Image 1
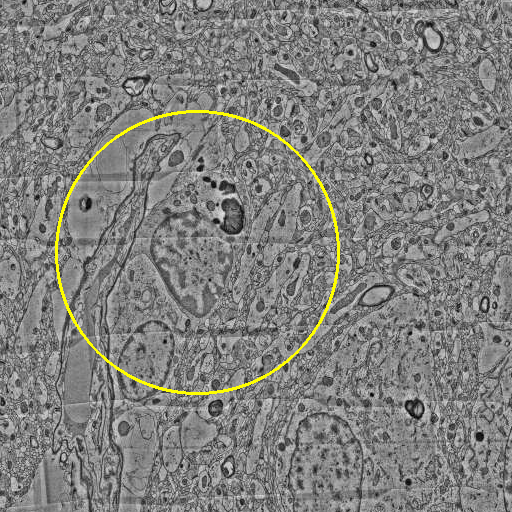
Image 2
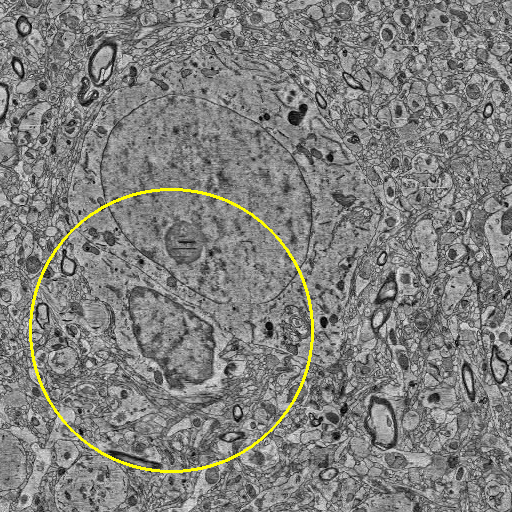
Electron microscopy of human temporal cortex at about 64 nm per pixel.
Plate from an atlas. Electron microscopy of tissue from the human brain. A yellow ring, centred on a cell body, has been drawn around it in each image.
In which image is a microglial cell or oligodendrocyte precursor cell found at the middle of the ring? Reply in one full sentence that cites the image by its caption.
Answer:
The requested cell is the one at the ring's centre in Image 2.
